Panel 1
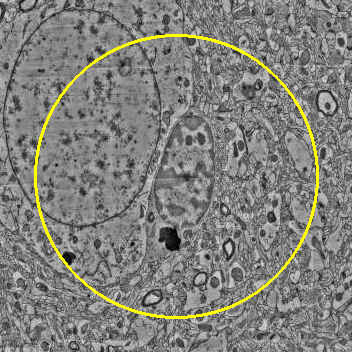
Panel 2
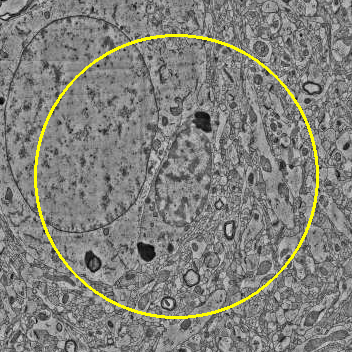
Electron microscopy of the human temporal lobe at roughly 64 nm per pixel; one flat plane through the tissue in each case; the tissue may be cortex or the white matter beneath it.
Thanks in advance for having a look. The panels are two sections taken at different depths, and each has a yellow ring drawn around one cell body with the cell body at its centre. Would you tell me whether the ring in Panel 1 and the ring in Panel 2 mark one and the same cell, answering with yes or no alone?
yes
